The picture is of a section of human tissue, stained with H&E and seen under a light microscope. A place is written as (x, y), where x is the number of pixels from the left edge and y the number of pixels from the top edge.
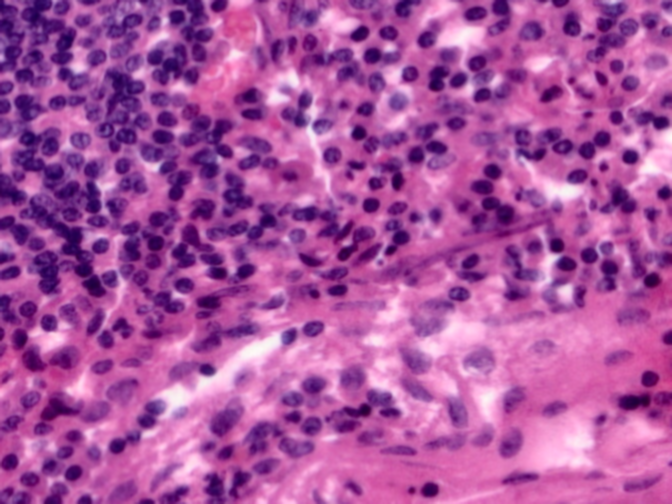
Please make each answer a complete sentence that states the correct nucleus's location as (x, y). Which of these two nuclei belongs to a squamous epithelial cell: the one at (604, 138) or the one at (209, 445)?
The nucleus found at (209, 445) belongs to a squamous epithelial cell.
